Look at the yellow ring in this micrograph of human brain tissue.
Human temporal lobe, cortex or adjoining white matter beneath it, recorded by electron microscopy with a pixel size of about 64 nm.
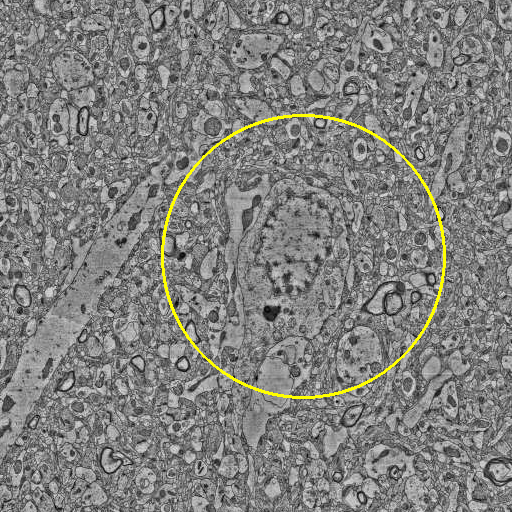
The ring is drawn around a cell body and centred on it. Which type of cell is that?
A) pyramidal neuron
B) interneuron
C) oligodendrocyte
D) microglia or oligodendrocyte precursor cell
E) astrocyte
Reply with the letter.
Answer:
B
